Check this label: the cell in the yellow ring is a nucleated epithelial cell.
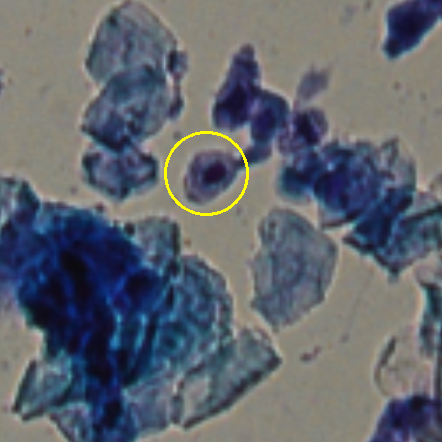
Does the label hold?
The label holds; the cell is a nucleated epithelial cell.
